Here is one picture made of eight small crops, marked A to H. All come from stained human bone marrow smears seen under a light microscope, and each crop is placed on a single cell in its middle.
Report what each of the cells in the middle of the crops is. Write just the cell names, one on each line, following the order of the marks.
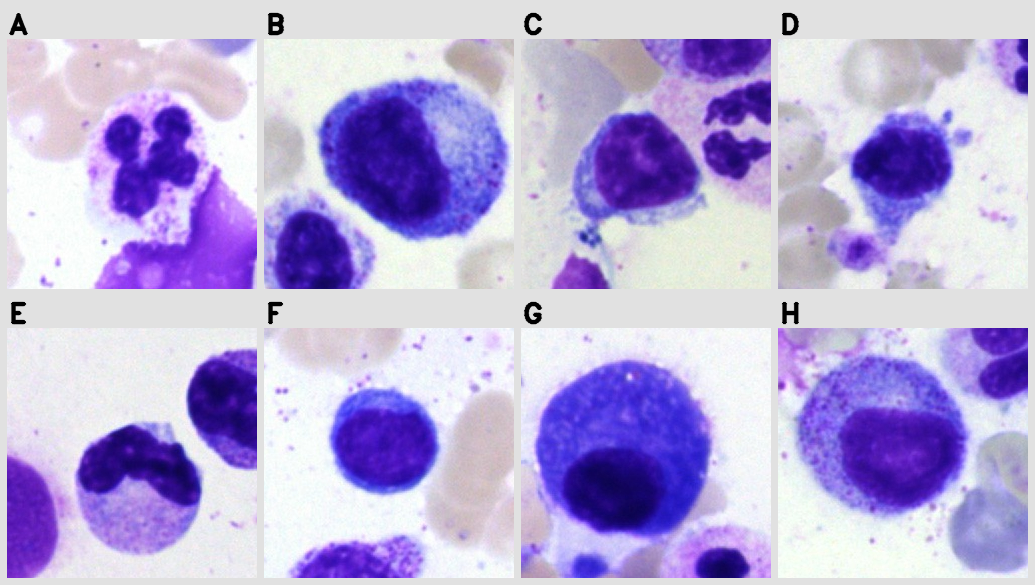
segmented neutrophil
promyelocyte
lymphocyte
monocyte
band neutrophil
lymphocyte
plasma cell
myelocyte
